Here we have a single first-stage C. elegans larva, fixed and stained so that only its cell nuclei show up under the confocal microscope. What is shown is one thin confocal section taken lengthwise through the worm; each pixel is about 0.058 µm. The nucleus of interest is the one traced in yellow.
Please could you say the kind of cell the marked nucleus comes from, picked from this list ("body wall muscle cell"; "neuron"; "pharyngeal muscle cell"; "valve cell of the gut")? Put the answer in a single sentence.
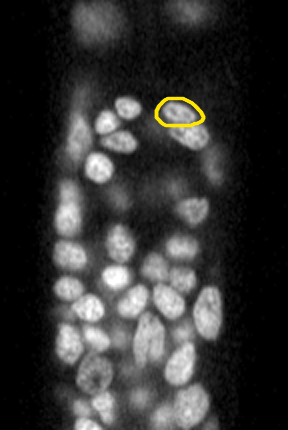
The marked nucleus is that of a valve cell of the gut.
